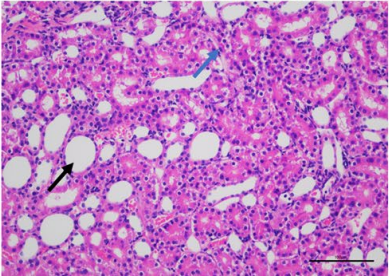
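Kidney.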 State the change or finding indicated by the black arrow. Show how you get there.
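Expansion. The arrow points at a tubule with a wide, round, empty lumen. The lining epithelium around the lumen is thinned and flattened. Many similar round open lumens are scattered nearby.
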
